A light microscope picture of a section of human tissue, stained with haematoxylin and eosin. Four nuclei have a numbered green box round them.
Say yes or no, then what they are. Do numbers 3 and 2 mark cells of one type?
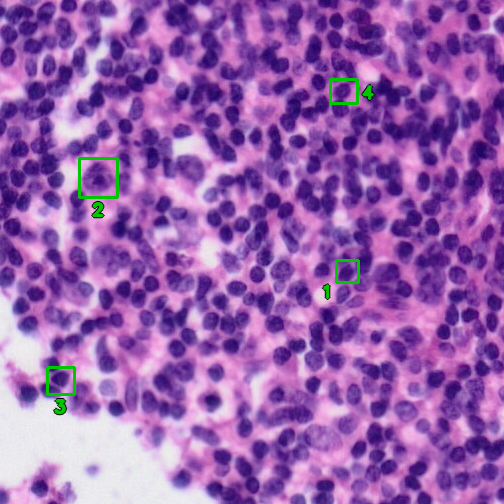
No, cell 3 is identified as a small lymphocyte, and cell 2 is identified as a proliferating B cell.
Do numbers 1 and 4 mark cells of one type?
Yes, the cells bearing numbers 1 and 4 are both small lymphocytes.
